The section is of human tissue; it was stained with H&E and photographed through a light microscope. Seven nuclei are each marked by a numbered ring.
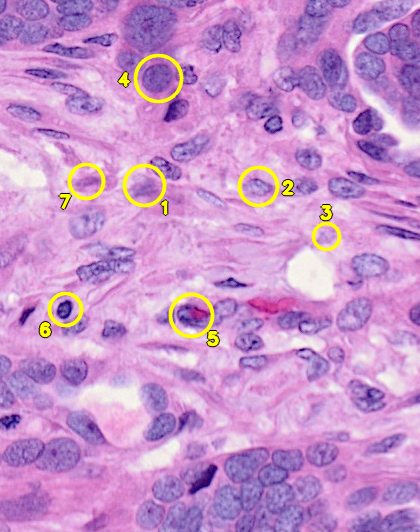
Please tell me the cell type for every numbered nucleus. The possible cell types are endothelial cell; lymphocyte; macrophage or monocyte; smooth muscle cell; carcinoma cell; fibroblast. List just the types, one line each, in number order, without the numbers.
fibroblast
fibroblast
fibroblast
carcinoma cell
endothelial cell
lymphocyte
fibroblast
